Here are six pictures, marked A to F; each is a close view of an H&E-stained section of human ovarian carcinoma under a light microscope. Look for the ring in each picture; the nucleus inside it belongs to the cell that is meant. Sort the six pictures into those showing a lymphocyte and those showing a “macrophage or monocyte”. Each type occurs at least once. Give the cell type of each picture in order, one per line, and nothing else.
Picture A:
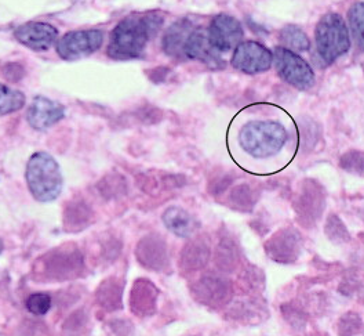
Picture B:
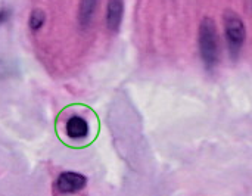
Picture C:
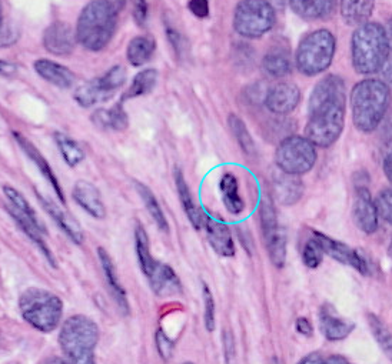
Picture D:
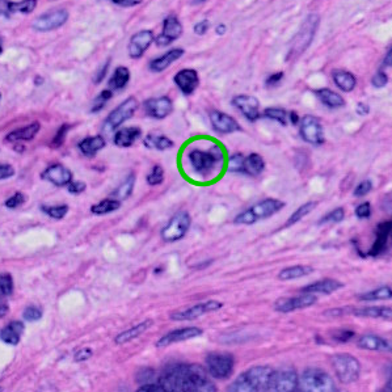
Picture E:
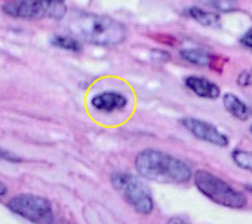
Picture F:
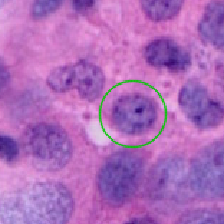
macrophage or monocyte
lymphocyte
lymphocyte
lymphocyte
lymphocyte
macrophage or monocyte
